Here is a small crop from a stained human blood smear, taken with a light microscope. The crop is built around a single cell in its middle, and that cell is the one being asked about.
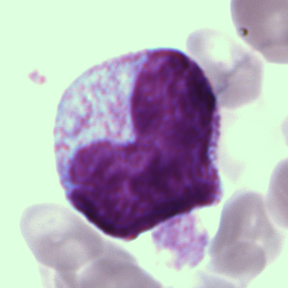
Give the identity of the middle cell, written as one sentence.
The center cell of this crop is a band neutrophil.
